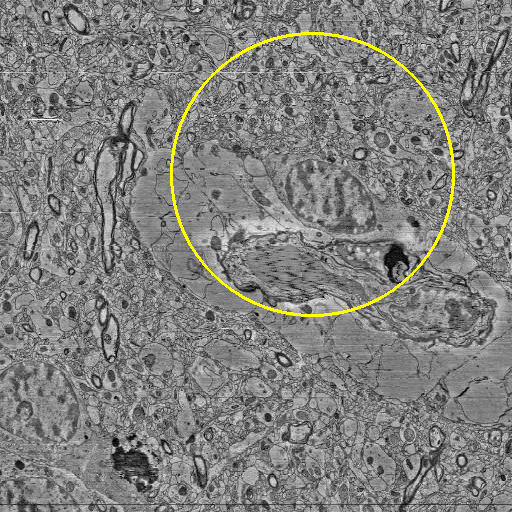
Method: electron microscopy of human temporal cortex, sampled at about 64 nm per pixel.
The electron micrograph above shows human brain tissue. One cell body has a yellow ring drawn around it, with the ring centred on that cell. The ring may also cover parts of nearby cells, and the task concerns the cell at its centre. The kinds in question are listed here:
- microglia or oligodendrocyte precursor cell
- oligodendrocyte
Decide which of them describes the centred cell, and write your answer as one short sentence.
The centred cell is an oligodendrocyte.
